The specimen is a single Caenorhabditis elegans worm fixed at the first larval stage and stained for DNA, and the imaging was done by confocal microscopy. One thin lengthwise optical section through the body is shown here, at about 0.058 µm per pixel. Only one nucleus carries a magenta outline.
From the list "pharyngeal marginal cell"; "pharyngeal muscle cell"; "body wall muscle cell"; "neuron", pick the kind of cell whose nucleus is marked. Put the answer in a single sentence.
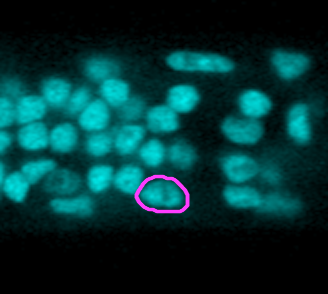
The marked nucleus belongs to a body wall muscle cell.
